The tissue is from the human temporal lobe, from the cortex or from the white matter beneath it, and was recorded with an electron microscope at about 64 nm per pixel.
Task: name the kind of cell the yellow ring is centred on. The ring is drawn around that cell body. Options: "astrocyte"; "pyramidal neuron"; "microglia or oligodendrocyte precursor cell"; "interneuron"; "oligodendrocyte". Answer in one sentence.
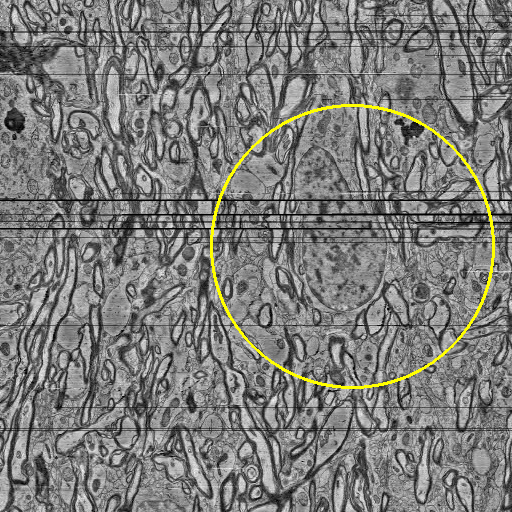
This cell body belongs to a microglial cell or oligodendrocyte precursor cell.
